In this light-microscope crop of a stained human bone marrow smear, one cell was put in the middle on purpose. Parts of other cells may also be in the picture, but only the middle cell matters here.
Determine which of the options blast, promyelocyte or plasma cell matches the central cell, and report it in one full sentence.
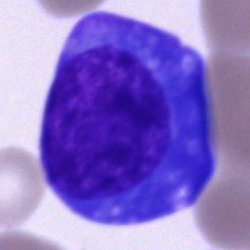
Framed in the middle of the crop is a plasma cell.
